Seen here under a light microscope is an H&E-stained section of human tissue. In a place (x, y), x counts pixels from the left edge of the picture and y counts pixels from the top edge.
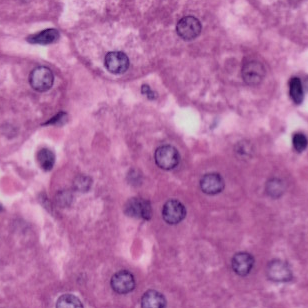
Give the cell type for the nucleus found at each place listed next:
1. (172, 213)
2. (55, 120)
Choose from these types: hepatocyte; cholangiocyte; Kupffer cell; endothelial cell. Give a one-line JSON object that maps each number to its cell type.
{"1": "hepatocyte", "2": "endothelial cell"}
